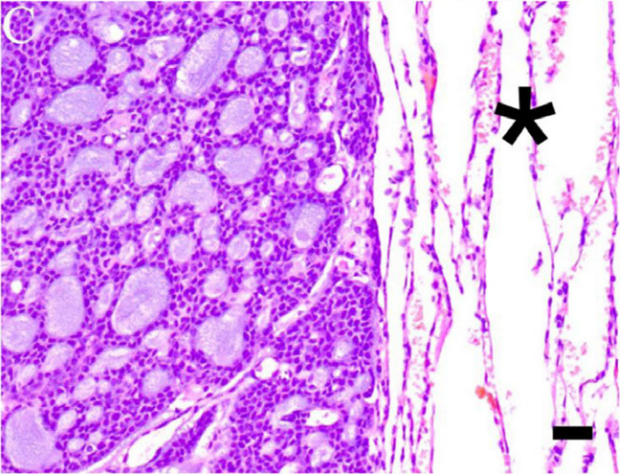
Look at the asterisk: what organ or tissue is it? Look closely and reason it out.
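Thin delicate septa separating large empty spaces. Scattered red blood cells within the thin septa. So: lung parenchyma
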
